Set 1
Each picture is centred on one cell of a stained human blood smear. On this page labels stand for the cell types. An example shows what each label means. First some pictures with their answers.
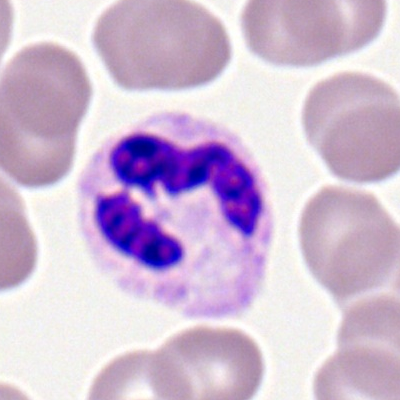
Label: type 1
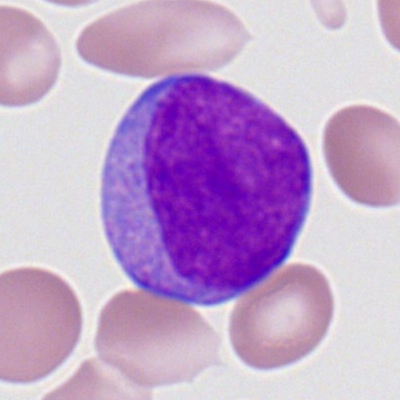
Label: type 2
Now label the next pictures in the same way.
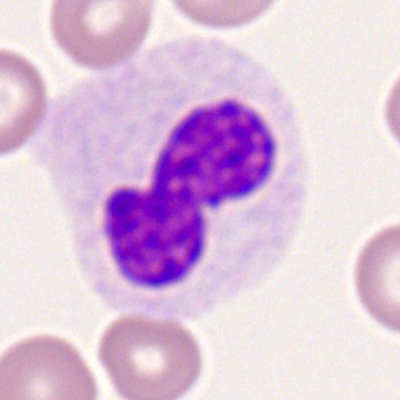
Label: type 1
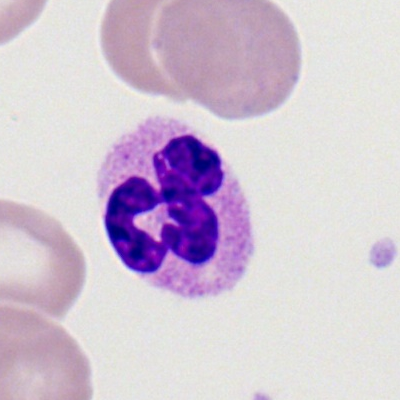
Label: type 1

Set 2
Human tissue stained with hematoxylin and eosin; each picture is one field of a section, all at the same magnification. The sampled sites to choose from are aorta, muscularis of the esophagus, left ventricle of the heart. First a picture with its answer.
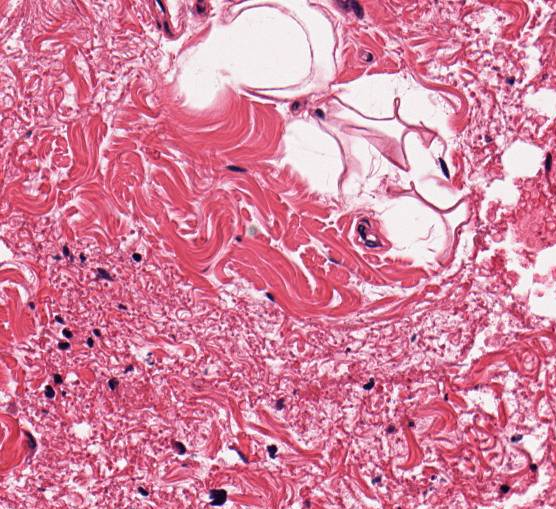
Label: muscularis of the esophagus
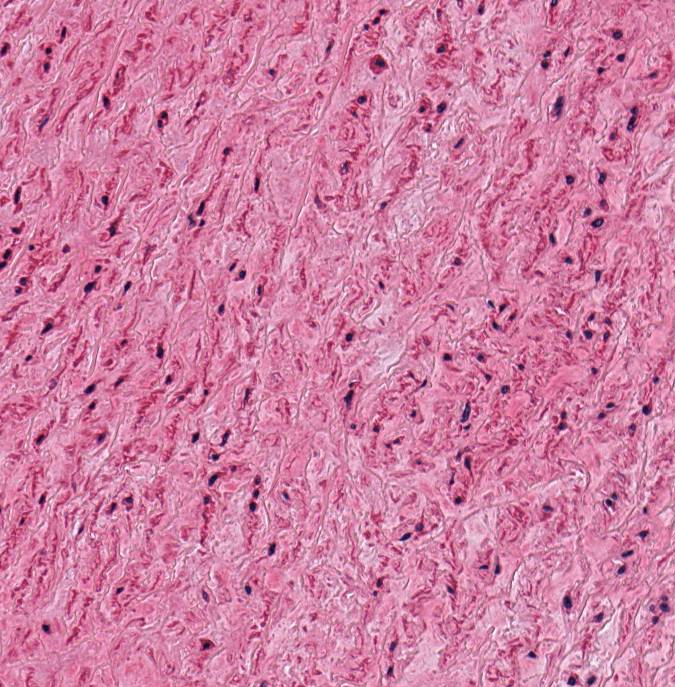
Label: aorta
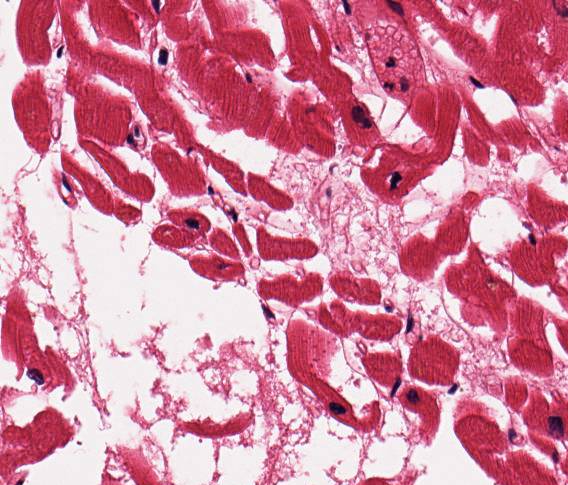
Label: left ventricle of the heart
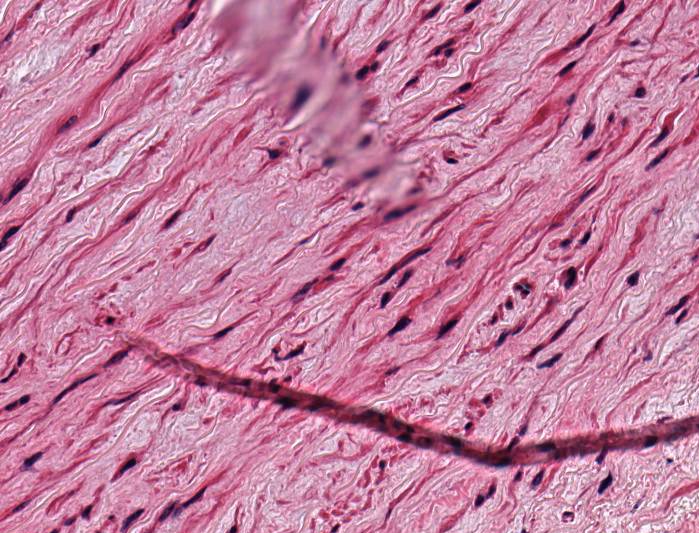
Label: aorta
